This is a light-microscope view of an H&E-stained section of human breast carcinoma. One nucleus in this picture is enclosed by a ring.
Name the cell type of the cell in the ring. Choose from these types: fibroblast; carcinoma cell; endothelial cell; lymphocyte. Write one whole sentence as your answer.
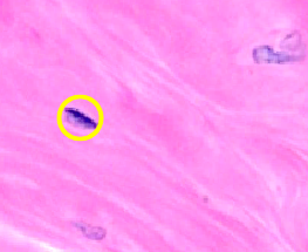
The cell meant here is a fibroblast.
